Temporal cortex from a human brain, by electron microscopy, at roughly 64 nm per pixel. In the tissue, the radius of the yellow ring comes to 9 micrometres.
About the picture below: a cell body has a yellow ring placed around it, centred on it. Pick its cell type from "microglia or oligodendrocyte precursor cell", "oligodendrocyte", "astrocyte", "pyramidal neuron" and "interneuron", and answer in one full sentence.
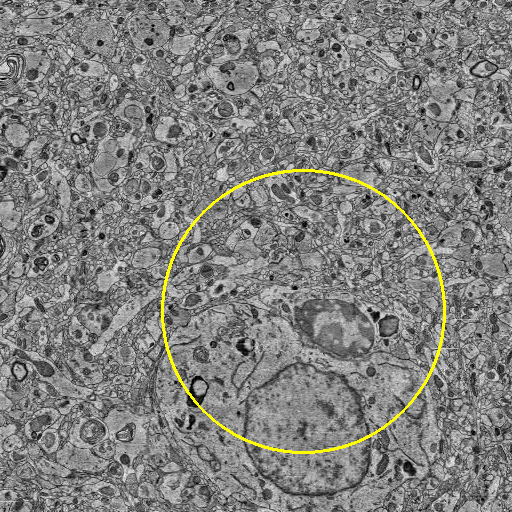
In the picture, a microglial cell or oligodendrocyte precursor cell is the cell sitting at the centre of the yellow ring.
